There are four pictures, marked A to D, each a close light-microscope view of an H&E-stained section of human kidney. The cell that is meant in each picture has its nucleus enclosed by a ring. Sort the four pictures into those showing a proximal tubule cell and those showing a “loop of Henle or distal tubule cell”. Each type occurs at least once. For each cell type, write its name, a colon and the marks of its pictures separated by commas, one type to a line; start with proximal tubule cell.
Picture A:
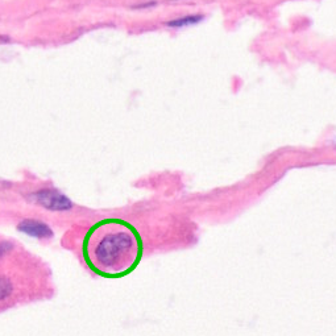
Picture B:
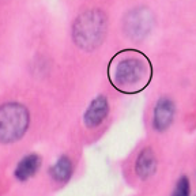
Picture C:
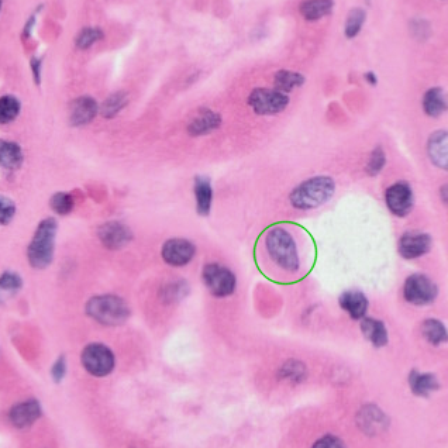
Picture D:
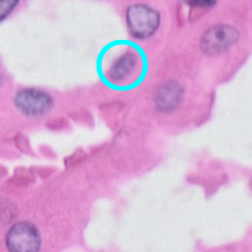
proximal tubule cell: A
loop of Henle or distal tubule cell: B, C, D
